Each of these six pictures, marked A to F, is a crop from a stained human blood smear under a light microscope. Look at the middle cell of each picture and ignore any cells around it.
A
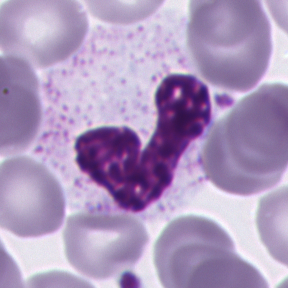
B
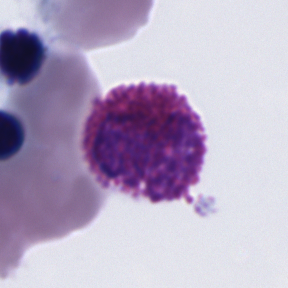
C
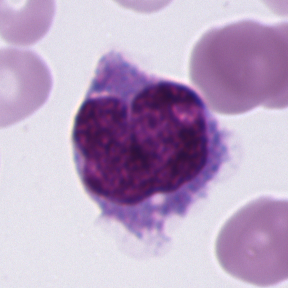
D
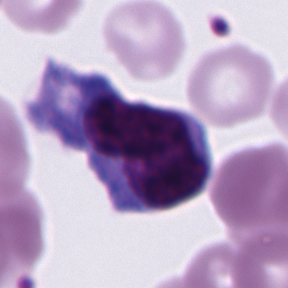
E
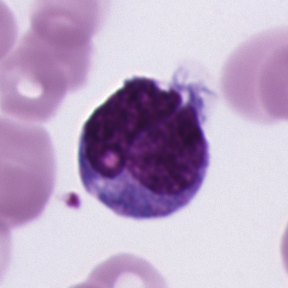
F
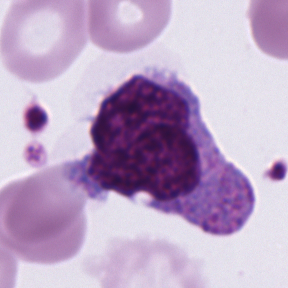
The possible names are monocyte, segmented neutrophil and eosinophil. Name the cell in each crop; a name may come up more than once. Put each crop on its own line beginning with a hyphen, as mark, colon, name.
- A: segmented neutrophil
- B: eosinophil
- C: monocyte
- D: monocyte
- E: monocyte
- F: monocyte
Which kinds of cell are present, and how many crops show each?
monocyte: 4
segmented neutrophil: 1
eosinophil: 1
